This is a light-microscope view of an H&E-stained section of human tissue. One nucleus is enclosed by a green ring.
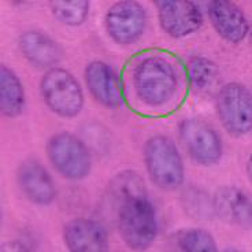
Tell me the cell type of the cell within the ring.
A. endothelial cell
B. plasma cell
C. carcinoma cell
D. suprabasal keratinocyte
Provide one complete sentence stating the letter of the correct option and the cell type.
The correct identification, the cell within the ring as a suprabasal keratinocyte, is given by option D.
